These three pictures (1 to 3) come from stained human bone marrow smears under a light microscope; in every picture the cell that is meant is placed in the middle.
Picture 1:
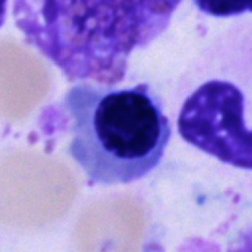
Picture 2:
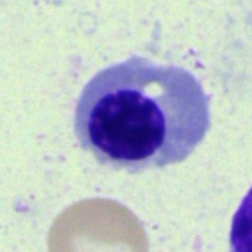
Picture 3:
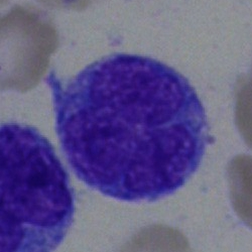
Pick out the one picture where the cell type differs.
3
